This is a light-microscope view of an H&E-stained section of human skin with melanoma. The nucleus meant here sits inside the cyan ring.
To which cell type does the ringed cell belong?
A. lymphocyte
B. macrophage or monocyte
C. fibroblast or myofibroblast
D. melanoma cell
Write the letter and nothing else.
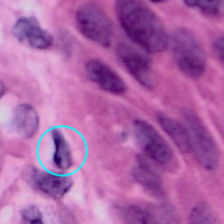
A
